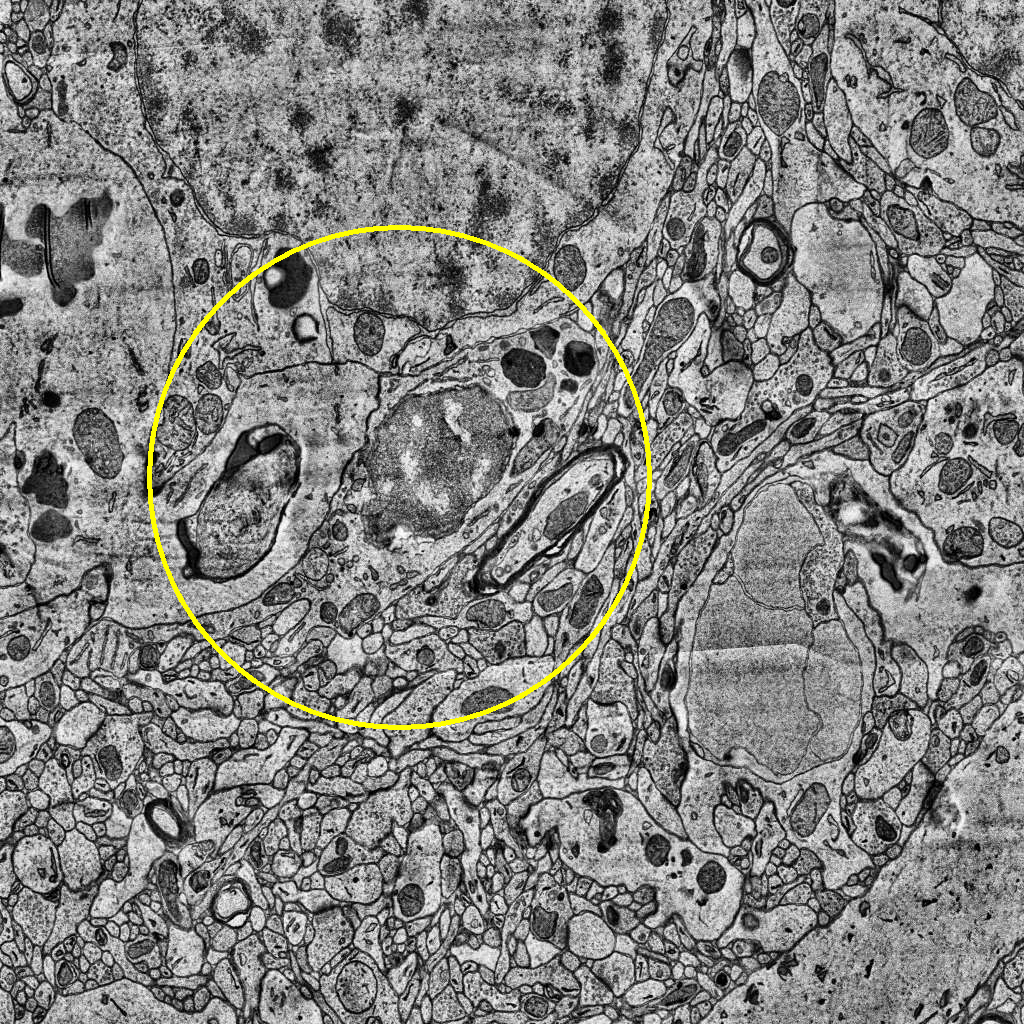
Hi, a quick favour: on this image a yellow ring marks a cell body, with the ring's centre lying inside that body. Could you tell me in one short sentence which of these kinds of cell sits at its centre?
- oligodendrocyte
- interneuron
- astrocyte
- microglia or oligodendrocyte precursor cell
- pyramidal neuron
The ring's centre lies in a microglial cell or oligodendrocyte precursor cell.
